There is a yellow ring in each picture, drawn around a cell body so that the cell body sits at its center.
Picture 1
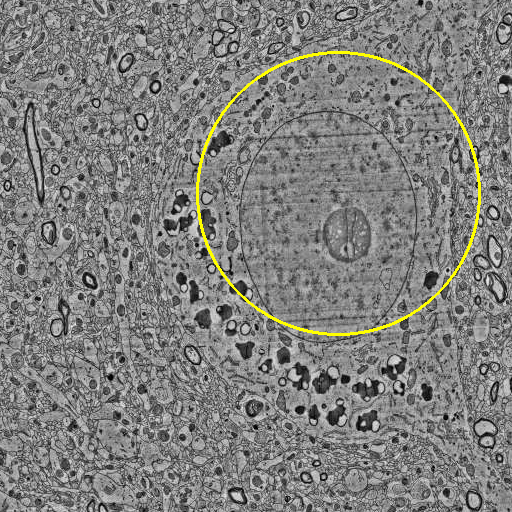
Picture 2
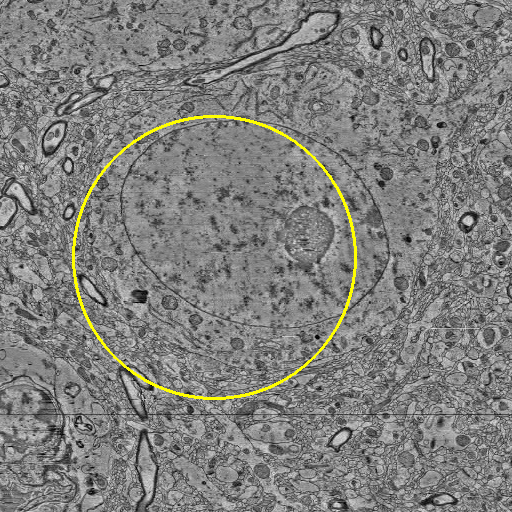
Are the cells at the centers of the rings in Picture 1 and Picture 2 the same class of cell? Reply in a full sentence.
Yes, the two cells are the same class of cell.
